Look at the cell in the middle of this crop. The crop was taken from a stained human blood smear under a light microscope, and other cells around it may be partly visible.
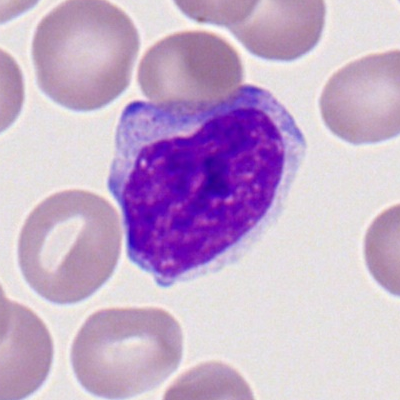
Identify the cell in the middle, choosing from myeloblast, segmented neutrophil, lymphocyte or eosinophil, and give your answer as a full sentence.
Occupying the centre of the crop is a lymphocyte.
